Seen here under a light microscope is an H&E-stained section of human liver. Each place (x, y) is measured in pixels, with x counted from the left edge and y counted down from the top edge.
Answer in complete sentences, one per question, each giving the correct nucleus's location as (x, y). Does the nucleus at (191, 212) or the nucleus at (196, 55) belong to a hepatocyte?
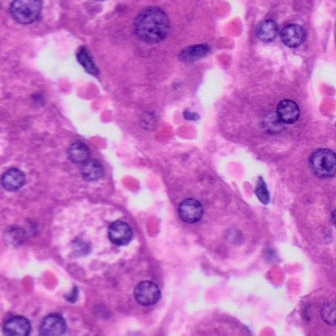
Of the two nuclei, the nucleus of a hepatocyte is at (191, 212).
